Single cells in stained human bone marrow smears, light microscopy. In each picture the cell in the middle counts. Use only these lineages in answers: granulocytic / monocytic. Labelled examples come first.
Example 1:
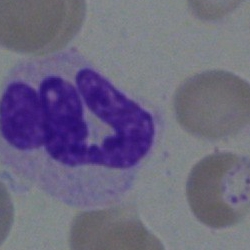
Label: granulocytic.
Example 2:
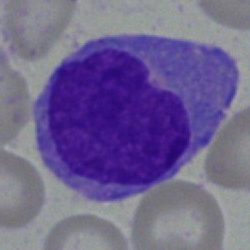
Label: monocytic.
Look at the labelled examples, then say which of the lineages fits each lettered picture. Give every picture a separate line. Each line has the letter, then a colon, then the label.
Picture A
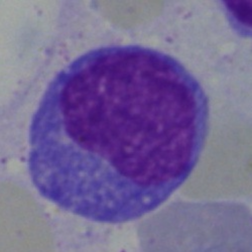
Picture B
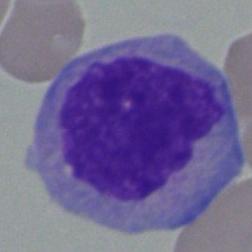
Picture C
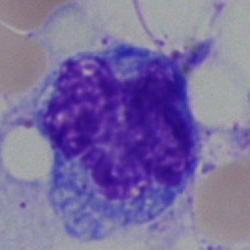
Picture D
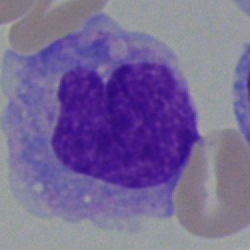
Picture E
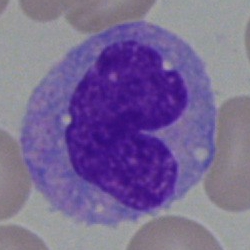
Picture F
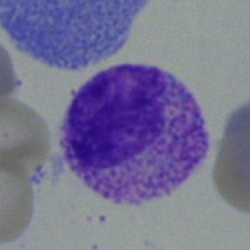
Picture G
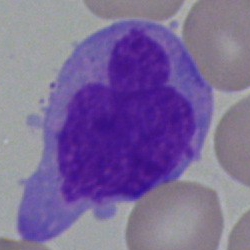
A: granulocytic.
B: monocytic.
C: monocytic.
D: monocytic.
E: monocytic.
F: granulocytic.
G: monocytic.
